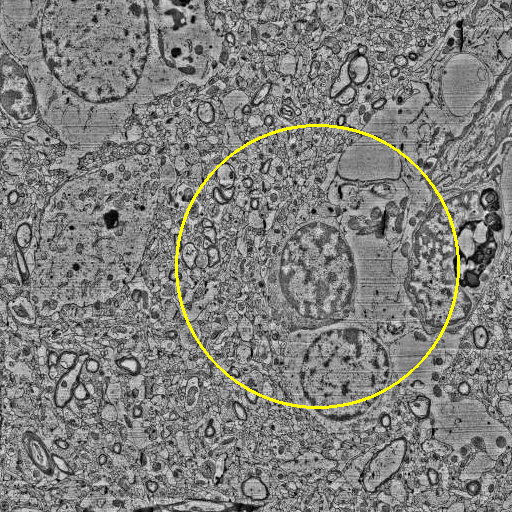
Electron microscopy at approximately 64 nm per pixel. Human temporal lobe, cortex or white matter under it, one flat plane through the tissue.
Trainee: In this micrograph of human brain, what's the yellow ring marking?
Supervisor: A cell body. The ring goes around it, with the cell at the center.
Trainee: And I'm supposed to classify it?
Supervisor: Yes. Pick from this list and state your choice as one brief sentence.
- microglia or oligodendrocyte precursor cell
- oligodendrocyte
The cell at the ring's center is an oligodendrocyte.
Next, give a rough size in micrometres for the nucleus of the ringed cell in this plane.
The ringed cell's nucleus measures approximately 6 by 5 micrometres in this plane.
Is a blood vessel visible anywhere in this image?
Yes, a blood vessel shows in the picture.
